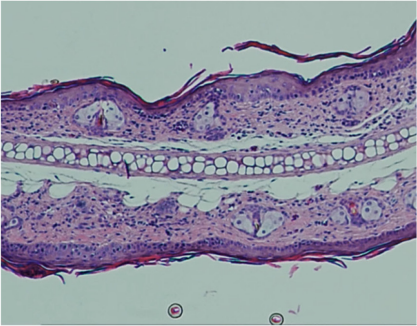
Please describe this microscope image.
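This is a cross-section of the ear, with a central row of pale, rounded cartilage cells flanked by skin on both sides. The dermis is relatively thin and compact pink tissue with scattered purple nuclei and some hair follicles, showing only mild cellular infiltration. A thin epidermis with a flaking surface layer covers the outer surfaces.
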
